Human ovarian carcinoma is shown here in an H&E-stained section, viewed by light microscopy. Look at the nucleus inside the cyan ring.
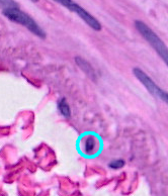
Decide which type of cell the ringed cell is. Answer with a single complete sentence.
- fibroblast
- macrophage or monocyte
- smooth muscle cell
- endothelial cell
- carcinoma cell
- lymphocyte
The cell type represented by the ringed cell is that of an endothelial cell.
